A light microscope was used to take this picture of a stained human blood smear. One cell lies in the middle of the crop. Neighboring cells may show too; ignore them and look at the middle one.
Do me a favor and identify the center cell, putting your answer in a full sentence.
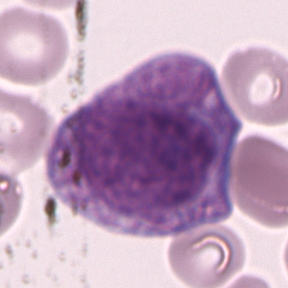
Positioned in the middle of the crop is an atypical promyelocyte.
